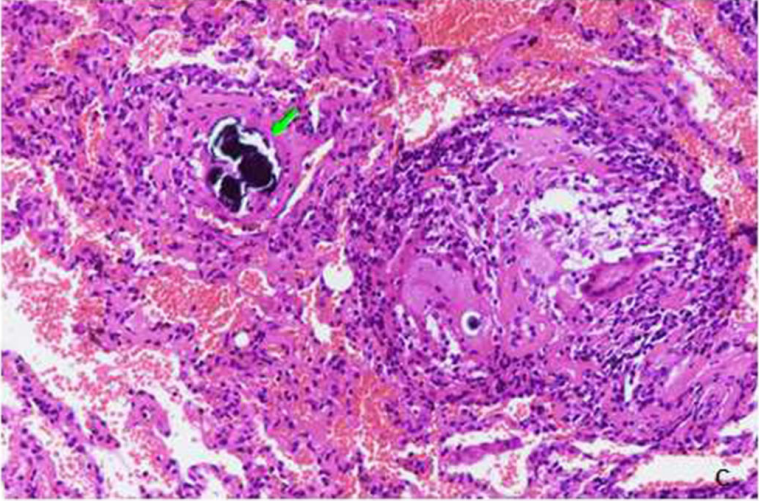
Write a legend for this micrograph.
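Lung tissue with granulomas made of clustered pale pink epithelioid cells and multinucleated giant cells, ringed by small dark lymphocytes and set among congested alveolar walls with many red blood cells. In one granuloma lies a dark purple-black, lobulated concretion, a Schaumann body, separated from the surrounding cells by a clear cleft.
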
